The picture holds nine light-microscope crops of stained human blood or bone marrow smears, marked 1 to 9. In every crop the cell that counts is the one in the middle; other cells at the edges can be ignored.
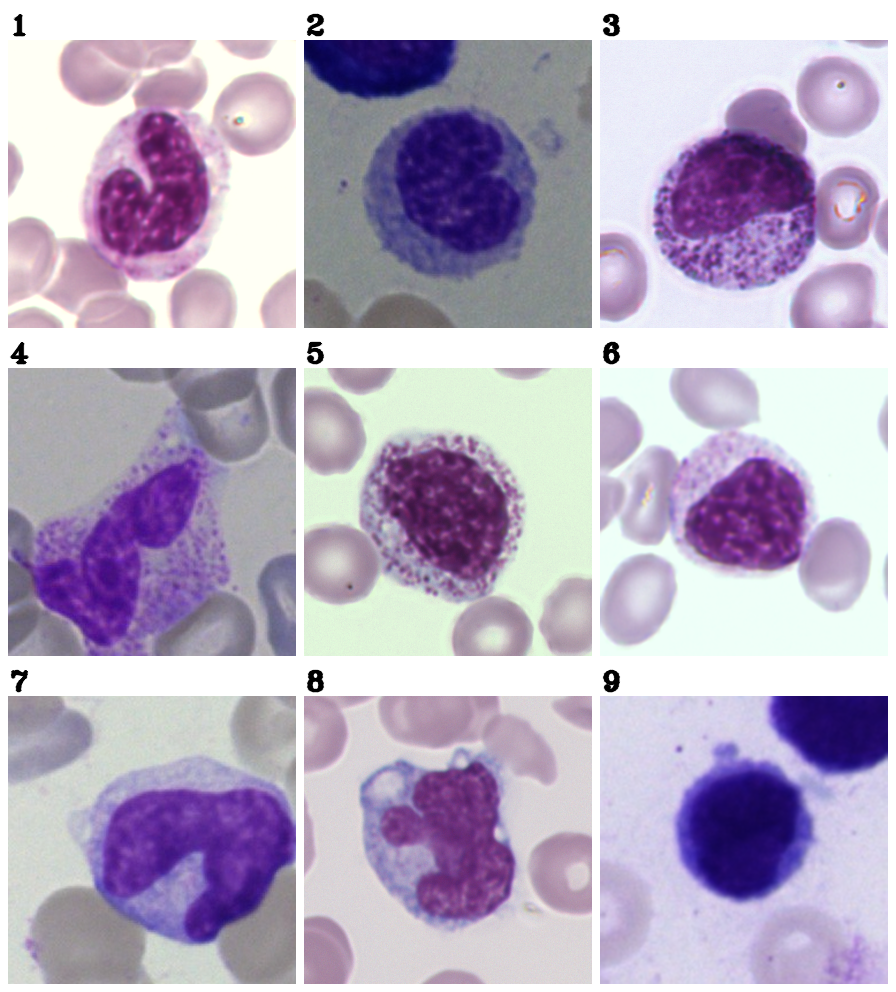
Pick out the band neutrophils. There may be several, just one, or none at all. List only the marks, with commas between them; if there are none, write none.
1, 4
